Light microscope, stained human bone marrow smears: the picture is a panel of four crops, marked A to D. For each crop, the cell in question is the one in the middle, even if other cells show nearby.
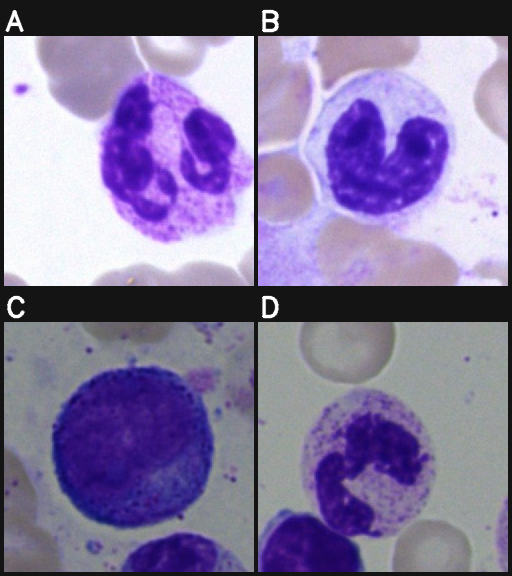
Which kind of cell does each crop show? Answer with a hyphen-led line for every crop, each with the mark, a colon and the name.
- A: segmented neutrophil
- B: band neutrophil
- C: promyelocyte
- D: segmented neutrophil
